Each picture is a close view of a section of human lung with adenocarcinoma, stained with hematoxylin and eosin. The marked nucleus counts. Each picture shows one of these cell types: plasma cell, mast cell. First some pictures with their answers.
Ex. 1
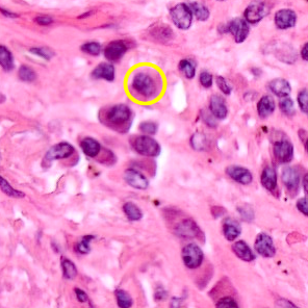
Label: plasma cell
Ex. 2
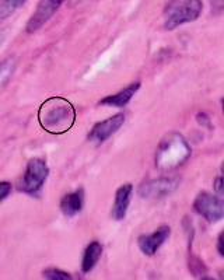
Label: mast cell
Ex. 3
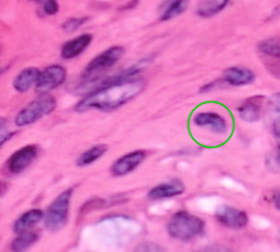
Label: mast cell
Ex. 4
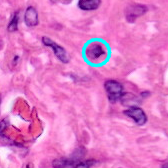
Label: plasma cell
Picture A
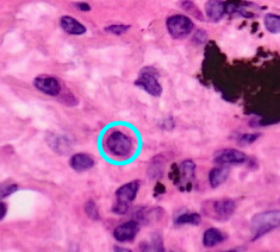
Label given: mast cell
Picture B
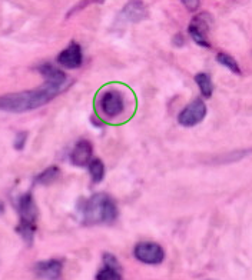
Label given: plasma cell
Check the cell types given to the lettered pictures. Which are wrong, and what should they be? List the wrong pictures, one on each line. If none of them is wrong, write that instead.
A is labelled mast cell; correct label: plasma cell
